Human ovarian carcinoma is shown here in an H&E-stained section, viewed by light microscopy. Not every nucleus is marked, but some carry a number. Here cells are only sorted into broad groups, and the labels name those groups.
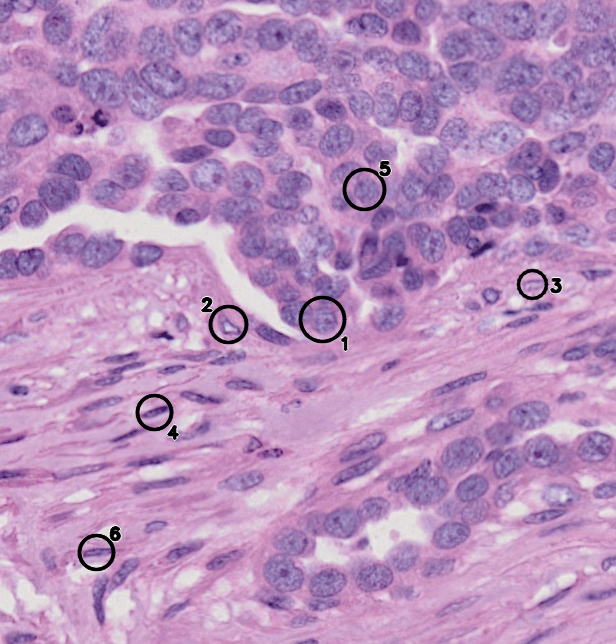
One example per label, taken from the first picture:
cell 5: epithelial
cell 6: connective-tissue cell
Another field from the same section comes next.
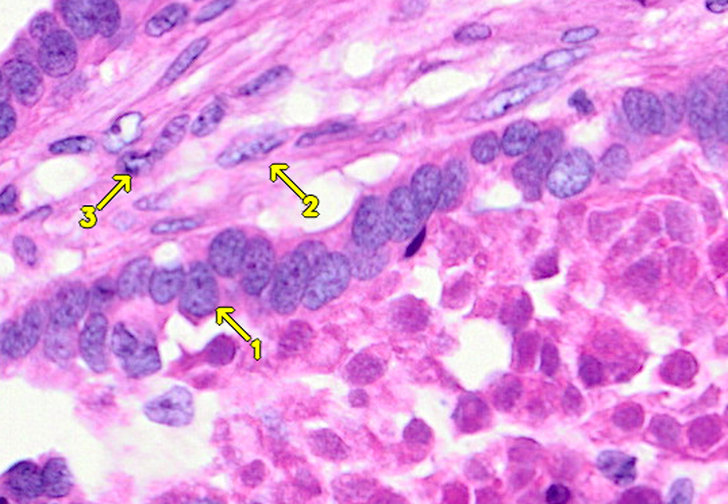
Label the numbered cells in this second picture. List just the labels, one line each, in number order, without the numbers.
epithelial
connective-tissue cell
connective-tissue cell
